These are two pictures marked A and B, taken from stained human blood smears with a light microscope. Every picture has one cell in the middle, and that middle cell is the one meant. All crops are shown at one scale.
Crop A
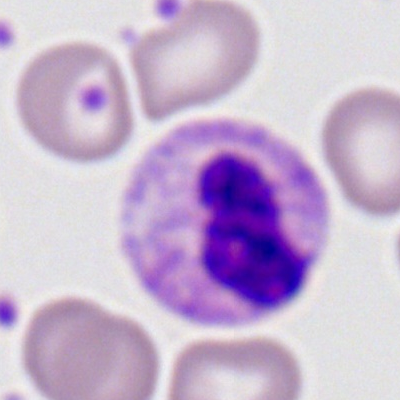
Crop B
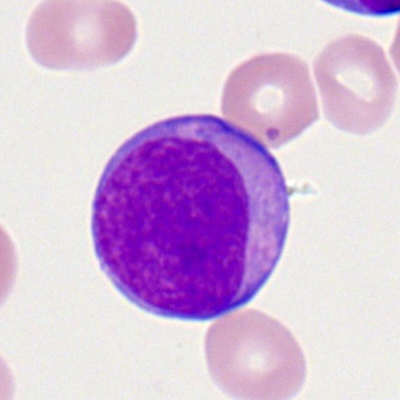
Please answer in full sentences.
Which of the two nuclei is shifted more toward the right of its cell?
The nucleus in crop A lies further toward the right of its cell.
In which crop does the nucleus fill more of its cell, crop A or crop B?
Of the two, the nucleus in crop B makes up the greater part of its cell.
